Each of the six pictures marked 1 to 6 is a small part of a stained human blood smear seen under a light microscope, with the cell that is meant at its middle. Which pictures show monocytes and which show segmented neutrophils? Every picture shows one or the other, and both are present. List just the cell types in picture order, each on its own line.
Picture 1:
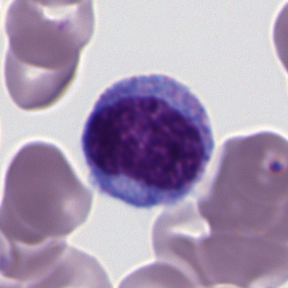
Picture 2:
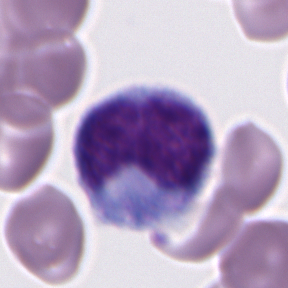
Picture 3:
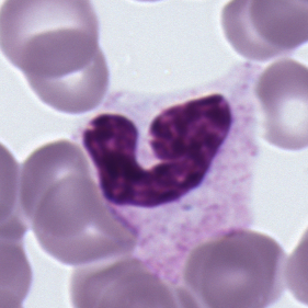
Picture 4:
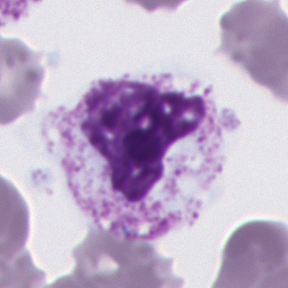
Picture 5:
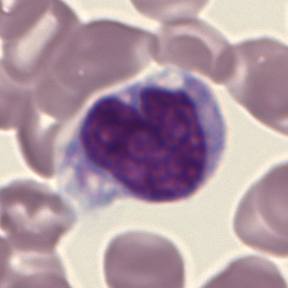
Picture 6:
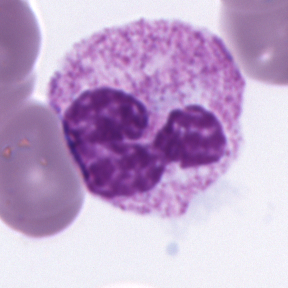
monocyte
monocyte
segmented neutrophil
segmented neutrophil
monocyte
segmented neutrophil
